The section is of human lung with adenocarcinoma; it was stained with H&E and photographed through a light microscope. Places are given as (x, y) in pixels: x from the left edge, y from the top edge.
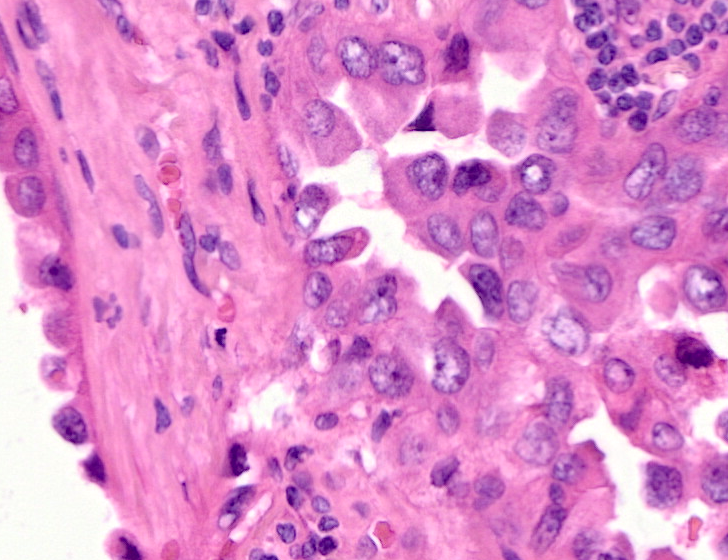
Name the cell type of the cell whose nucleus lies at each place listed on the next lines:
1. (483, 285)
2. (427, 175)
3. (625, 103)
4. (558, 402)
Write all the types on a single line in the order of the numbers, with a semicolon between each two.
carcinoma cell; carcinoma cell; lymphocyte; carcinoma cell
